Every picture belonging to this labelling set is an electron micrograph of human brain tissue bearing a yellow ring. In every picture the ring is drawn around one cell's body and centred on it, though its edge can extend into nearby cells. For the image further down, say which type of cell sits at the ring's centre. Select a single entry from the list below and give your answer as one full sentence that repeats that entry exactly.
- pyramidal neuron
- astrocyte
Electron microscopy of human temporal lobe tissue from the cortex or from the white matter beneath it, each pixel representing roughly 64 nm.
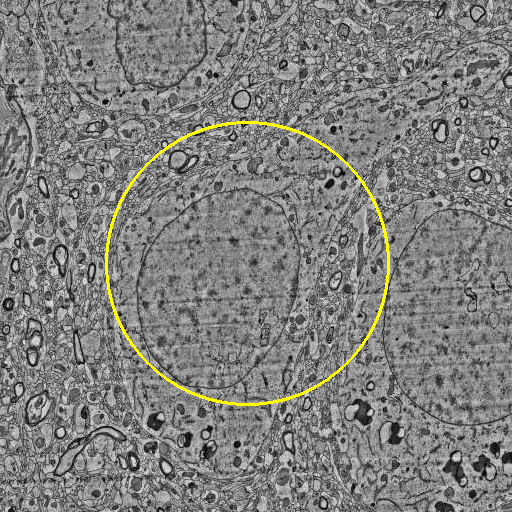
In the picture, a pyramidal neuron is the cell at the centre of the yellow ring.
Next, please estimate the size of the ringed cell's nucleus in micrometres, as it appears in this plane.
In this plane, the nucleus is roughly 13 by 10 micrometres.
